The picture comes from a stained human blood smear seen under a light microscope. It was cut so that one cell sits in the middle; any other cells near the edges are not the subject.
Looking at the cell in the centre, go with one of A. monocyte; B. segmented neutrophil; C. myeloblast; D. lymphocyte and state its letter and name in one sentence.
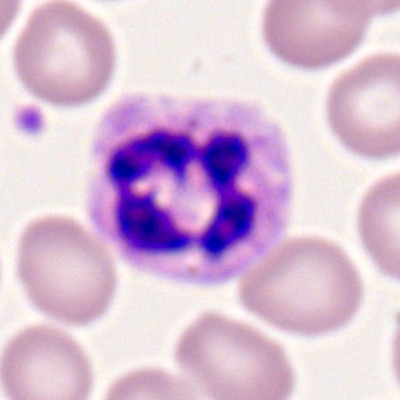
According to option B, which is correct, the cell in the middle is a segmented neutrophil.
